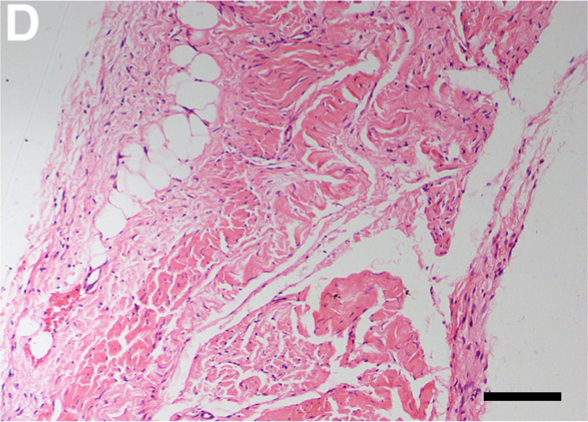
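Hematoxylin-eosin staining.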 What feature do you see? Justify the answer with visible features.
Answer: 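A group of rounded, empty, clear spaces with thin walls lies at the upper left. The clear spaces sit beside pink fibrous and muscle-like bundles.
Answer: fat vacuoles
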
